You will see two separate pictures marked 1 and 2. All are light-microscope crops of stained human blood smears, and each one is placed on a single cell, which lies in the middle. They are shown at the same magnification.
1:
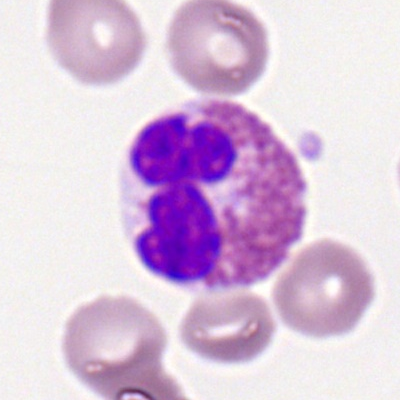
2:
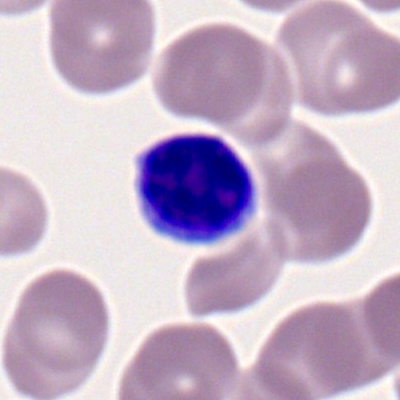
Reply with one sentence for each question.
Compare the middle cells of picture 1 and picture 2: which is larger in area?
It is the cell in picture 1, about 2.5 times as large in area as the cell in picture 2.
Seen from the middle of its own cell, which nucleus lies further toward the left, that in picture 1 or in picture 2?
It is the nucleus in picture 1 that lies further toward the left of its cell.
